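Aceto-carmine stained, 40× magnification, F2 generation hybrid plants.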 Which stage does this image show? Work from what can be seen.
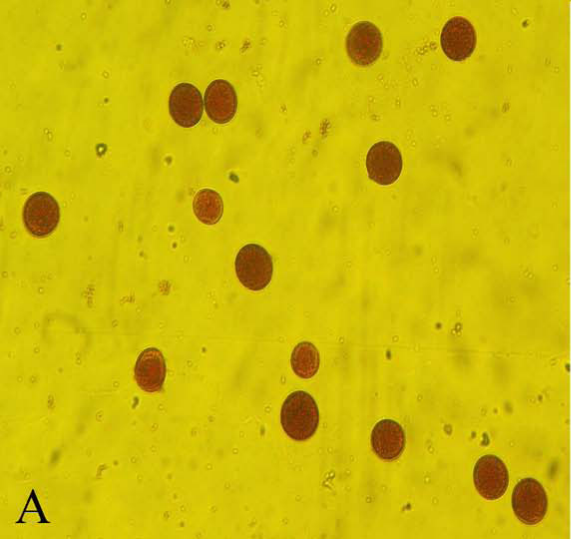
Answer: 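Nearly all grains are filled and deeply stained red-brown. Grains are plump and round with smooth outlines.
Fertile.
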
